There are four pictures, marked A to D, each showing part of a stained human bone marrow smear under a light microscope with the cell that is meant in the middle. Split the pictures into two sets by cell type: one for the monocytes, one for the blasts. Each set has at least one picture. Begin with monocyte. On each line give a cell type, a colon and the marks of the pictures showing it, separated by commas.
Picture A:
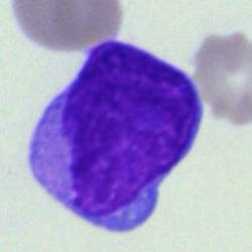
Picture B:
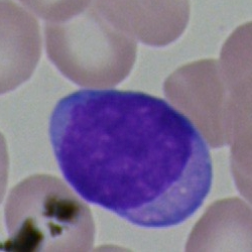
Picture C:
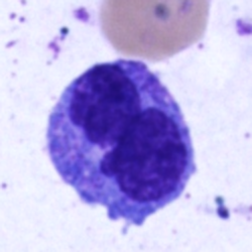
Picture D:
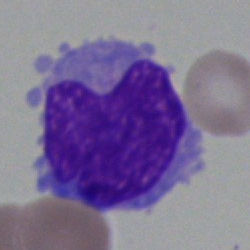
monocyte: C, D
blast: A, B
